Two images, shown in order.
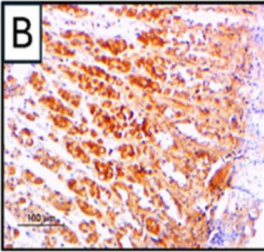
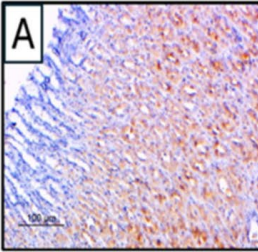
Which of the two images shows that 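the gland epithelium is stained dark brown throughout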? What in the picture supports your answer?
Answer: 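First image: most of the mucosa is intensely dark brown, with the stain filling the cells. Second image: the brown stain is pale and patchy, with much blue counterstain, especially near the surface. That points to this answer: the first image.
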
